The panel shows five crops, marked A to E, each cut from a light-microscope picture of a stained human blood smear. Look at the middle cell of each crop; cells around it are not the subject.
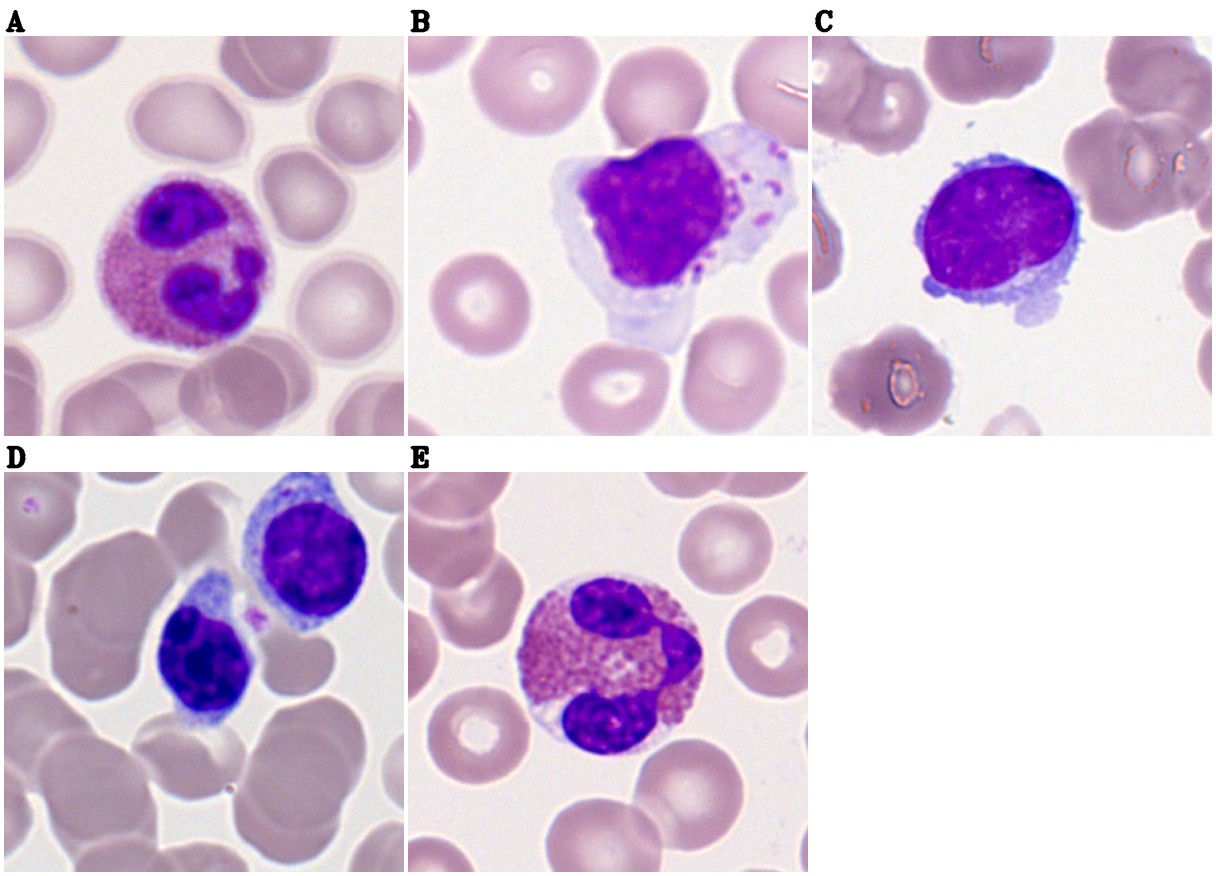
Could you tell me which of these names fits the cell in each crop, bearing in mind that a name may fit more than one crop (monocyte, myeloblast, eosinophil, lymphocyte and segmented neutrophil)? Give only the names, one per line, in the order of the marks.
eosinophil
lymphocyte
lymphocyte
lymphocyte
eosinophil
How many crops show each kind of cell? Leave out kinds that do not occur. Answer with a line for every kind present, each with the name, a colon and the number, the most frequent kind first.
lymphocyte: 3
eosinophil: 2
